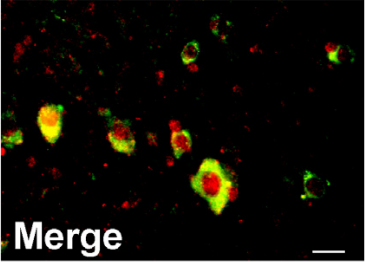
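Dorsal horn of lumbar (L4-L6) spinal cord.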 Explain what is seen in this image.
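Several cells are rounded with a green rim and a red or yellow interior, so that red and green overlap in yellow across much of the cell. The largest cells have a bright red centre surrounded by a yellow-green ring, while a few smaller cells show only a thin green outline. Fine red speckles lie between the cells.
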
